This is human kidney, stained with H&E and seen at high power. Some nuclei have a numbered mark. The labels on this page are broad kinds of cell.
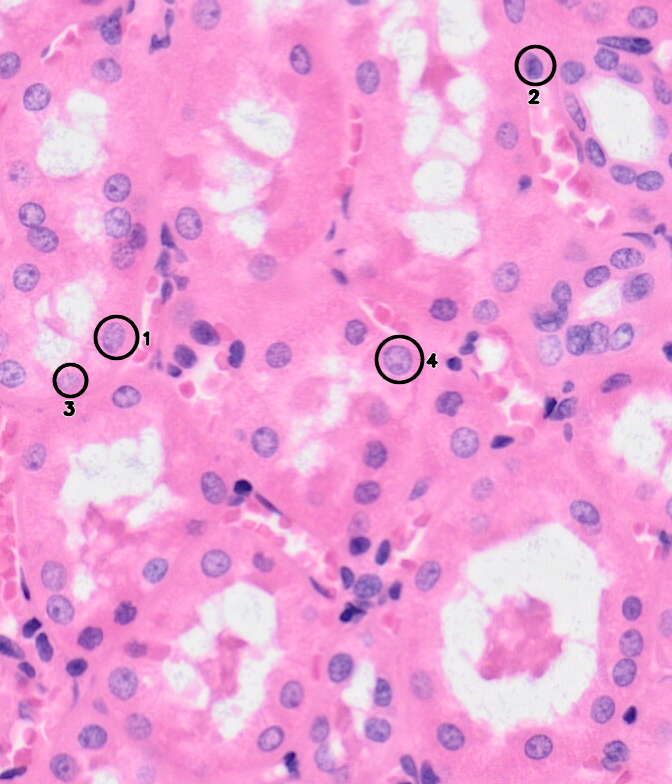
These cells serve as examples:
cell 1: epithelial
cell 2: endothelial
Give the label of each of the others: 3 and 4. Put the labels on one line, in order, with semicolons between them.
epithelial; epithelial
